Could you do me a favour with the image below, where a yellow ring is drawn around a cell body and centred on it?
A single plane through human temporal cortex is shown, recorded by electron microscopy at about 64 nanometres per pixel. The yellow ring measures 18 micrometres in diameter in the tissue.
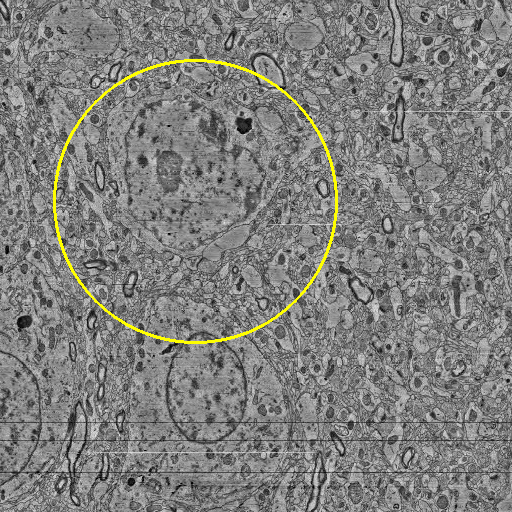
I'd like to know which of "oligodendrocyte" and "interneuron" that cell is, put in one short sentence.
The cell at the ring's centre is an interneuron.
